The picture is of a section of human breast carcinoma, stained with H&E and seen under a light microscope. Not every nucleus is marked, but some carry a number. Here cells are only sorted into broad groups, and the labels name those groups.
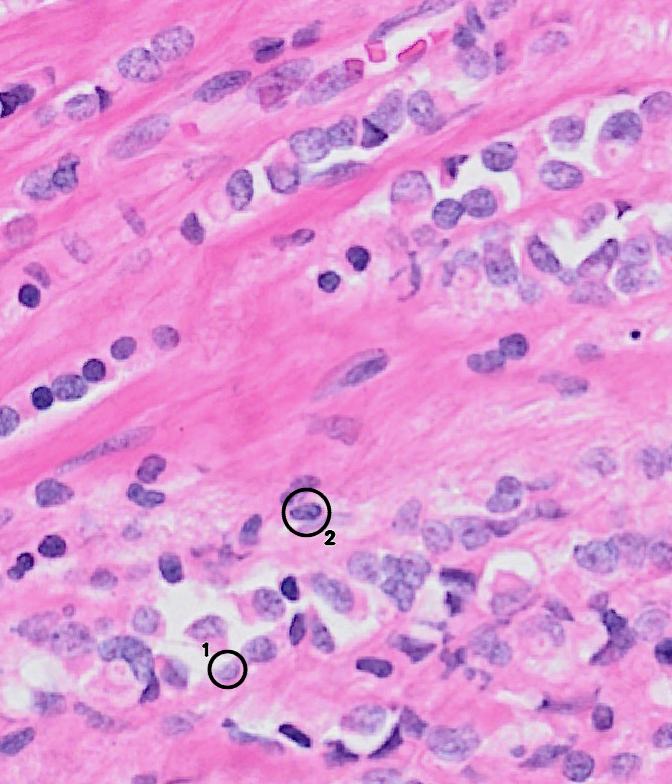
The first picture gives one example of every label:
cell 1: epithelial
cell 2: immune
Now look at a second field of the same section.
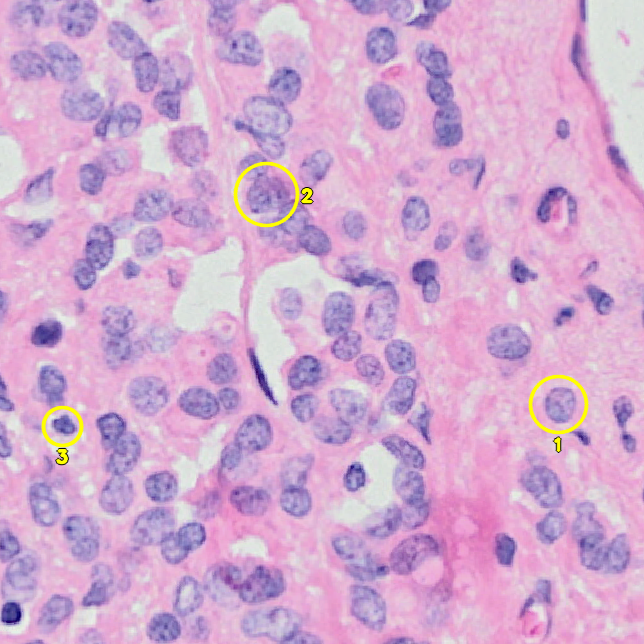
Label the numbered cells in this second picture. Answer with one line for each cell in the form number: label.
1: epithelial
2: epithelial
3: immune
